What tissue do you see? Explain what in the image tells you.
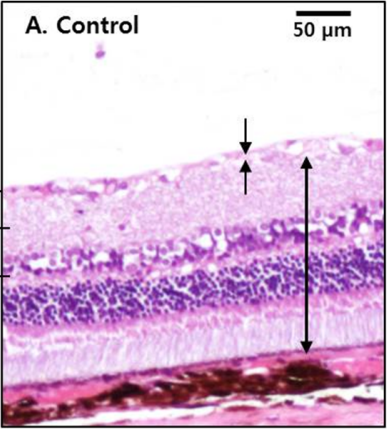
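Retina. Stacked parallel layers alternating between bands of purple nuclei and pale pink fibrous bands. A pale, vertically striated band lies above a dark brown-black pigmented layer at the bottom.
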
